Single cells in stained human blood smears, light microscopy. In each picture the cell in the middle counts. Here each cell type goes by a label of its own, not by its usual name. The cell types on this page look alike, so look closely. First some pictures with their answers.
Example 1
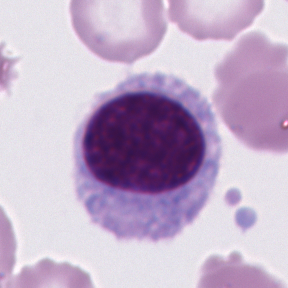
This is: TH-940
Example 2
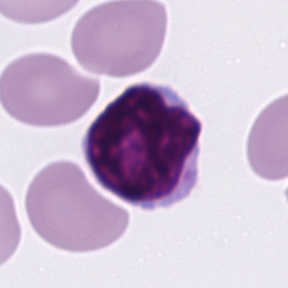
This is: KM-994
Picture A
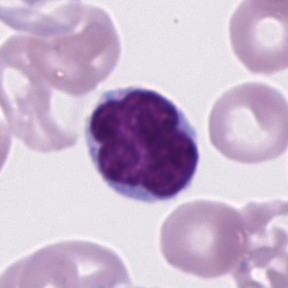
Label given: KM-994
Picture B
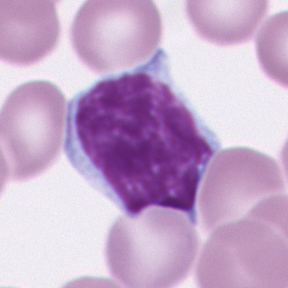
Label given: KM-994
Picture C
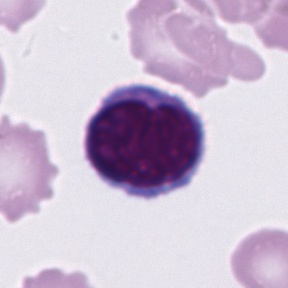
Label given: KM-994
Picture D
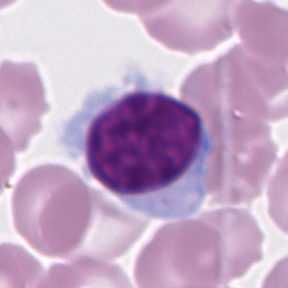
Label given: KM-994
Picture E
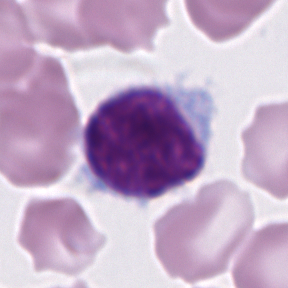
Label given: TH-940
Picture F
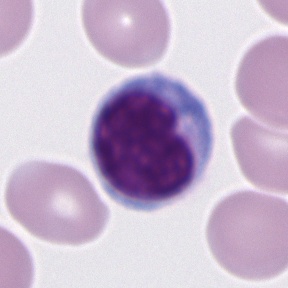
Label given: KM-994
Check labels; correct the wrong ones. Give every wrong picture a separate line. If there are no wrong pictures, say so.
Nothing to fix; every label fits.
